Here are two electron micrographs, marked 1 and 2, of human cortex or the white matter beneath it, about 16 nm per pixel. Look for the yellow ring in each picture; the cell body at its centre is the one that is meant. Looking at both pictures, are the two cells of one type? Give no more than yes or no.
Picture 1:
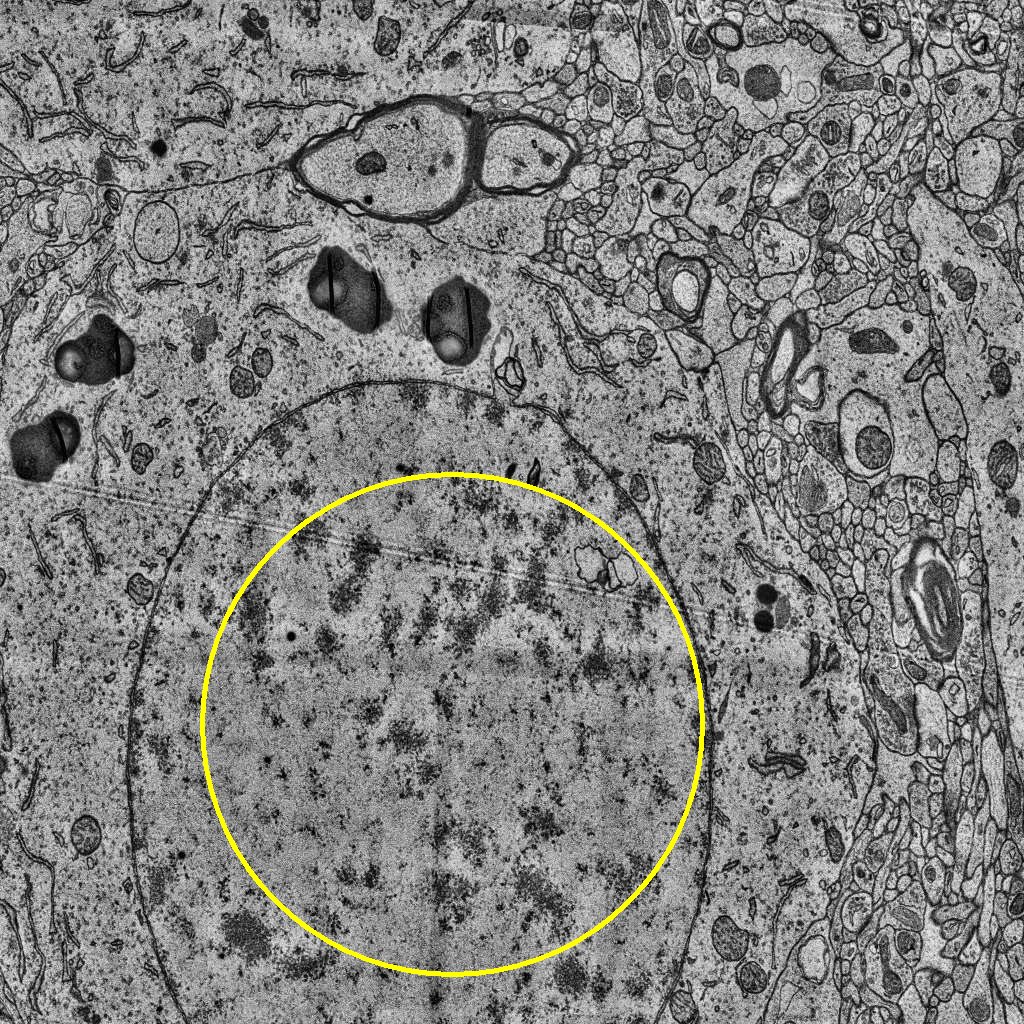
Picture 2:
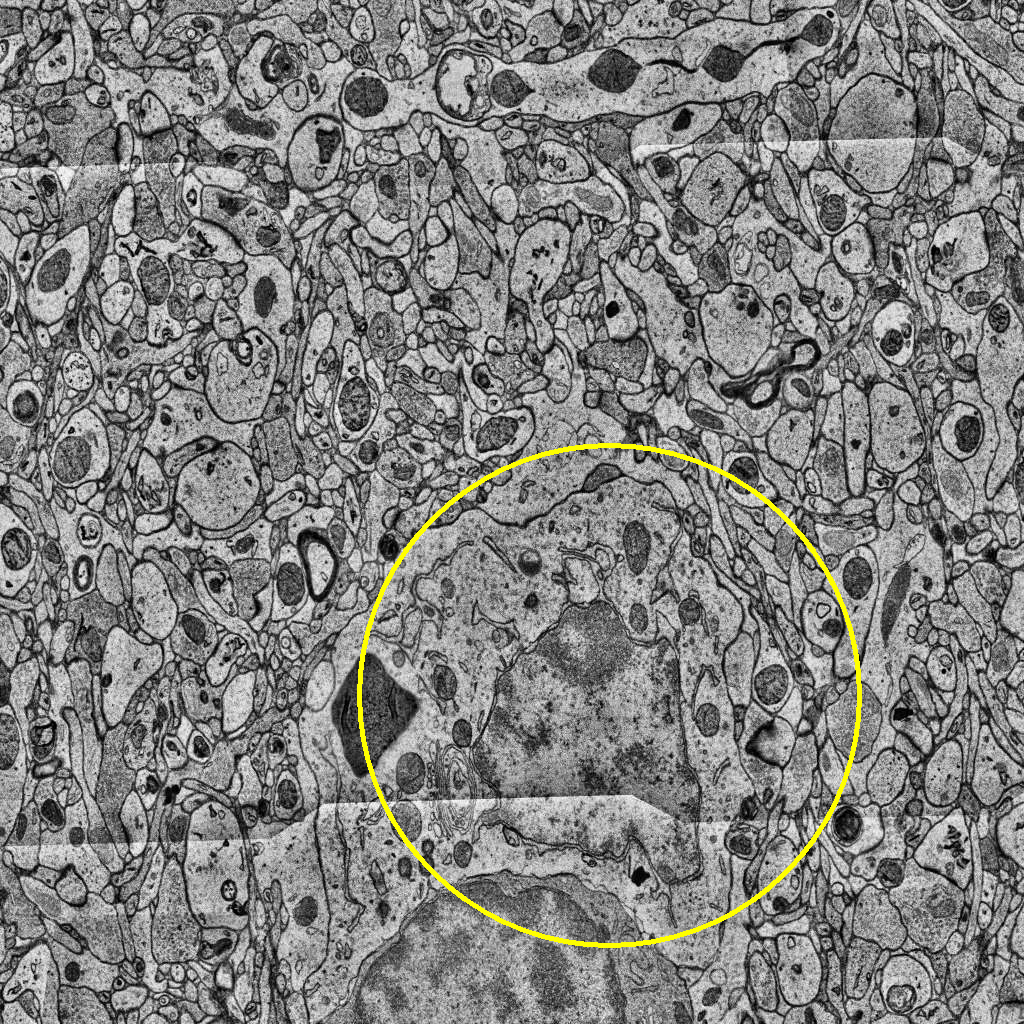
no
